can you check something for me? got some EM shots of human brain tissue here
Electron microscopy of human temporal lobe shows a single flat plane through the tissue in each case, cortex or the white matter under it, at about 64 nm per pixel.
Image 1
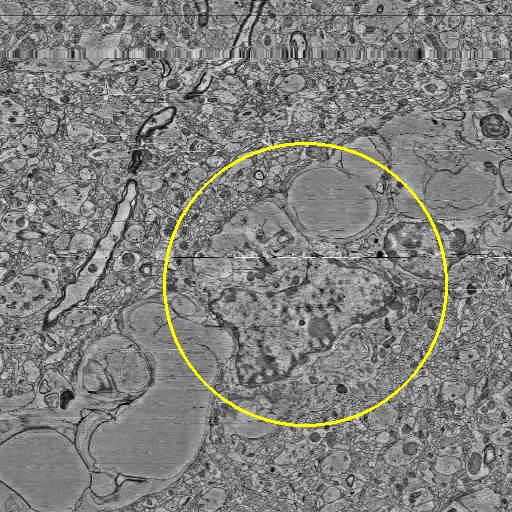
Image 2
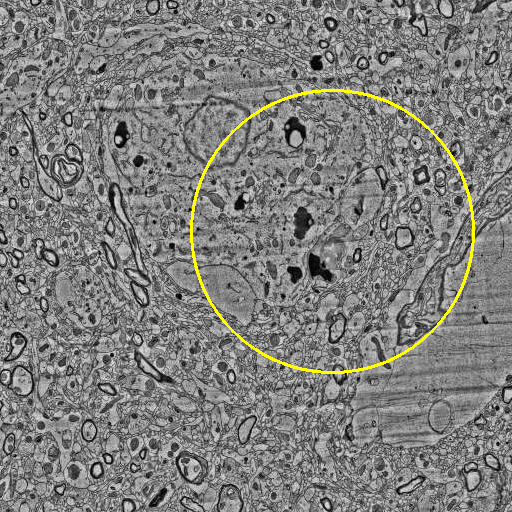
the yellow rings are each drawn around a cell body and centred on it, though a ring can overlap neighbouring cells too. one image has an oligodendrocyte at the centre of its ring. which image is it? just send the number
2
